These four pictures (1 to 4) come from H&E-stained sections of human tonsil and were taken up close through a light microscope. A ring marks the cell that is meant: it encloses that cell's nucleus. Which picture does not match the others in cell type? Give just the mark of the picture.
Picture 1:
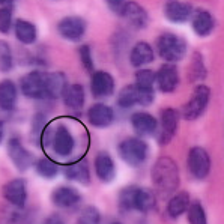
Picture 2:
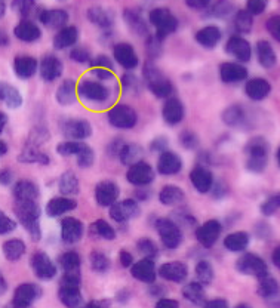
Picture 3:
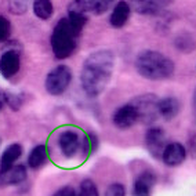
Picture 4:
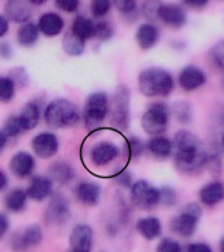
3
